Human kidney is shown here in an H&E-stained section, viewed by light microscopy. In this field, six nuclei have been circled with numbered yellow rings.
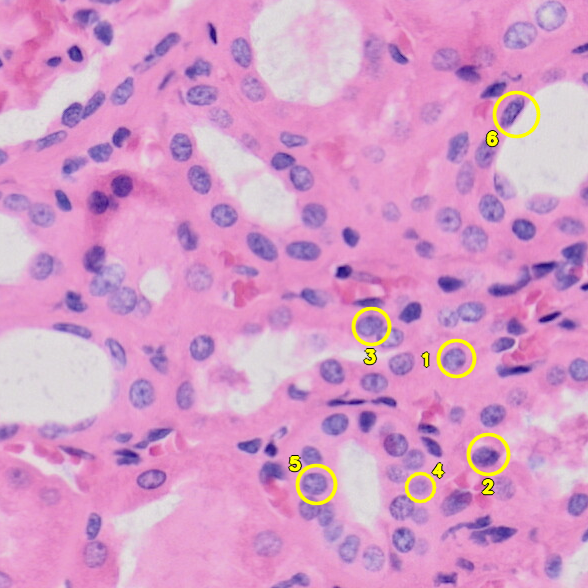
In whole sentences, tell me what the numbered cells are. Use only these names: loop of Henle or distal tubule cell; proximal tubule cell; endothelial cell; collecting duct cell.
Cells 1, 2, 3 and 6 are loop of Henle or distal tubule cells. Cells 4 and 5 are collecting duct cells.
